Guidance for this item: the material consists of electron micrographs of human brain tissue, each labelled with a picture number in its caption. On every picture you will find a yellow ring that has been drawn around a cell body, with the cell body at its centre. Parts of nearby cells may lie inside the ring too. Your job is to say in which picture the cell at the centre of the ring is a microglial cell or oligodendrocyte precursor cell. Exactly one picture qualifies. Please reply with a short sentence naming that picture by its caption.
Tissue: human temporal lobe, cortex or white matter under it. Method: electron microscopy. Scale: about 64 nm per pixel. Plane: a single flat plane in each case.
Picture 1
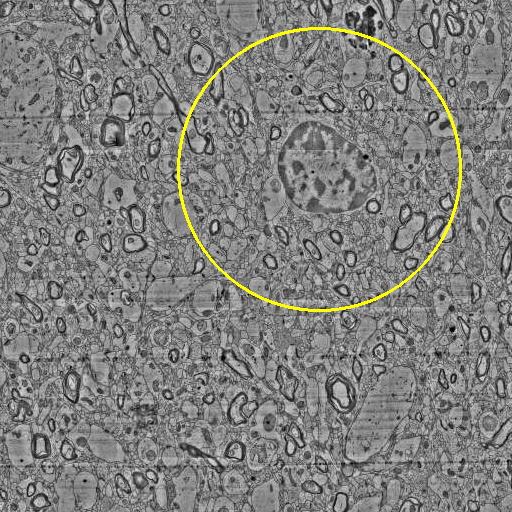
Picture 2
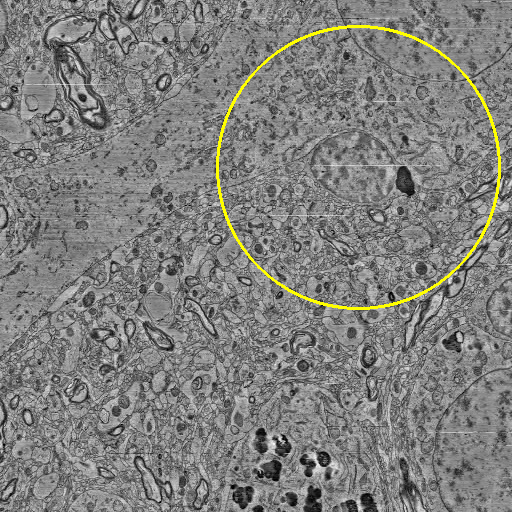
Picture 1 shows it at the centre of the ring.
